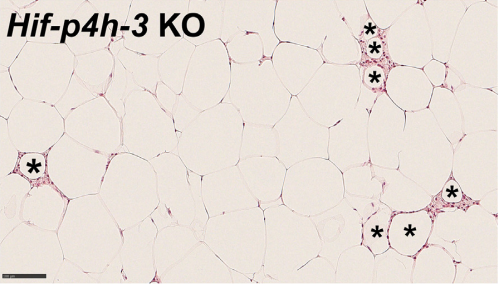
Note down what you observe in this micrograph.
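White adipose tissue made of large, polygonal fat cells whose contents appear empty, each bounded by a thin pink rim with a flattened dark nucleus at its edge. Between the fat cells lie several clusters of small cells with pink cytoplasm and dark round nuclei. Some of these clusters form a crown encircling a single fat cell, while others fill the angle where several fat cells meet.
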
